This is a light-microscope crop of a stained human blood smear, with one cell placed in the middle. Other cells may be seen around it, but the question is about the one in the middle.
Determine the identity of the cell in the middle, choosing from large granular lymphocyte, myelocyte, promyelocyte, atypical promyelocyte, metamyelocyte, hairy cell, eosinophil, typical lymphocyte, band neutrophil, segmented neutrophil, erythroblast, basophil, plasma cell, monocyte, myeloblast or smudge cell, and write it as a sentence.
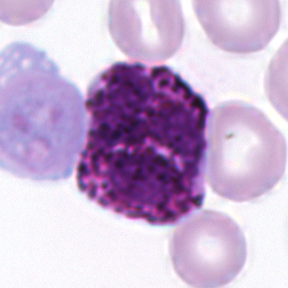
In the central position of this crop, the cell is a basophil.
